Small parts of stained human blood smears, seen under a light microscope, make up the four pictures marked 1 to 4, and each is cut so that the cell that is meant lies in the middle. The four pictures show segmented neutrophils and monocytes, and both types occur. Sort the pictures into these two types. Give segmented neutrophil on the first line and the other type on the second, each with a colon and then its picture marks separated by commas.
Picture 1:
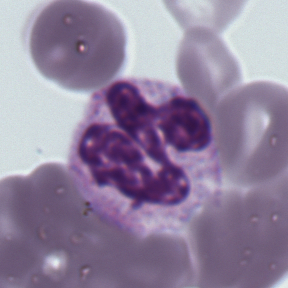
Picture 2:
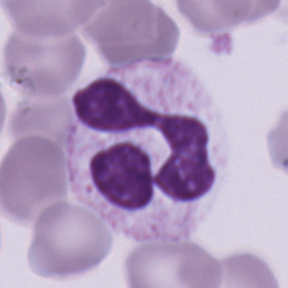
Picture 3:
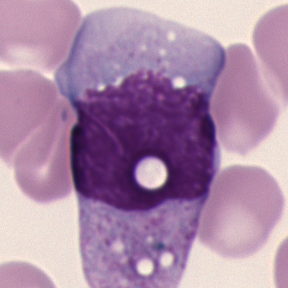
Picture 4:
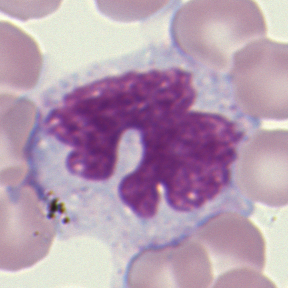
segmented neutrophil: 1, 2
monocyte: 3, 4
